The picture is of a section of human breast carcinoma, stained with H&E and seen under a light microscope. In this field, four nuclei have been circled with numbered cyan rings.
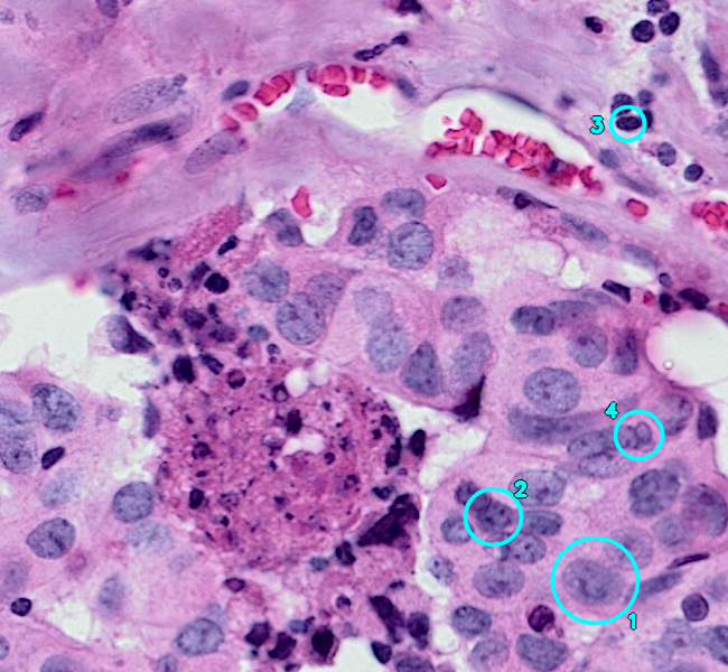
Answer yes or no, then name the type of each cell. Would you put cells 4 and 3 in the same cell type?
No, as for cell 4, it is a carcinoma cell, and cell 3 is a lymphocyte.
